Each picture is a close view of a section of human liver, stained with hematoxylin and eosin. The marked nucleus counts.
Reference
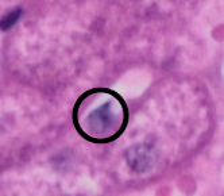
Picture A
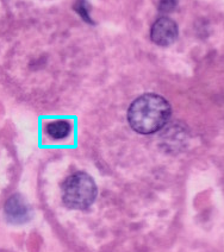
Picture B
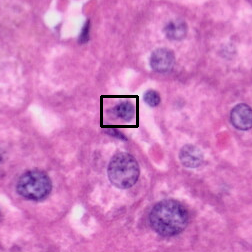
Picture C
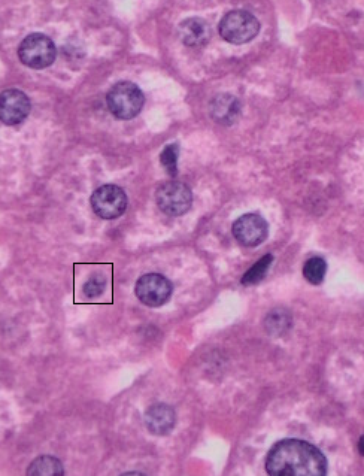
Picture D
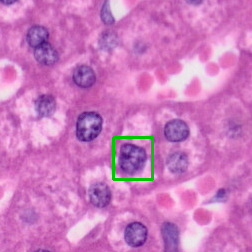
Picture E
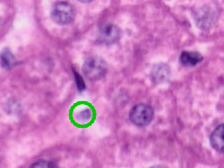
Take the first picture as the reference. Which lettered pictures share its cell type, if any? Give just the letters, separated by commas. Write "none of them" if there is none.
none of them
